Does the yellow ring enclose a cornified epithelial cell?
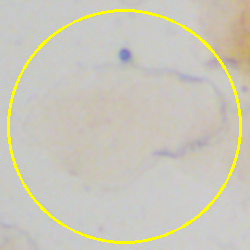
Yes. The ring encloses a cornified epithelial cell.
